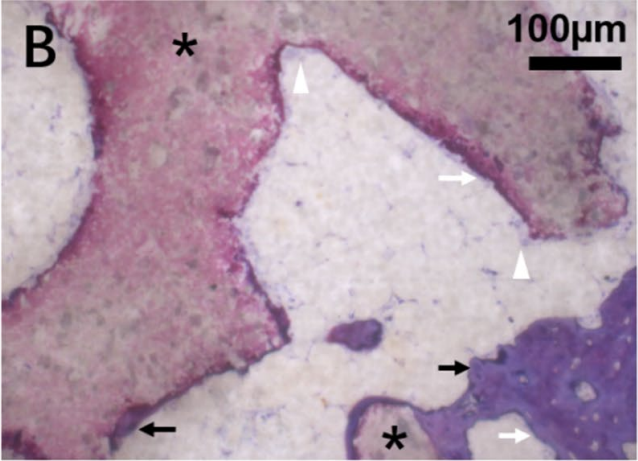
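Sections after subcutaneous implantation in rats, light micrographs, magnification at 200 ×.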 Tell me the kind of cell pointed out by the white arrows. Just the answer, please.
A: Osteoblasts.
